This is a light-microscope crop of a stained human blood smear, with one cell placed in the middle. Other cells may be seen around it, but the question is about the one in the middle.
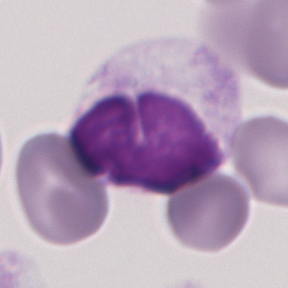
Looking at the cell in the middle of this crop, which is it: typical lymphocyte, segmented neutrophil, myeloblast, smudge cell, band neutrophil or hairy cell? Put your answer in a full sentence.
In the central position of this crop, the cell is a band neutrophil.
